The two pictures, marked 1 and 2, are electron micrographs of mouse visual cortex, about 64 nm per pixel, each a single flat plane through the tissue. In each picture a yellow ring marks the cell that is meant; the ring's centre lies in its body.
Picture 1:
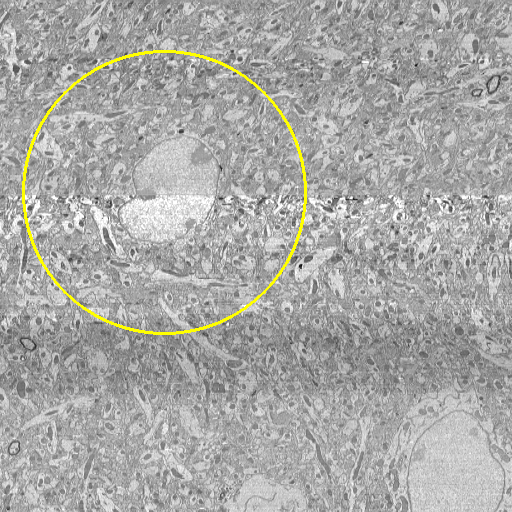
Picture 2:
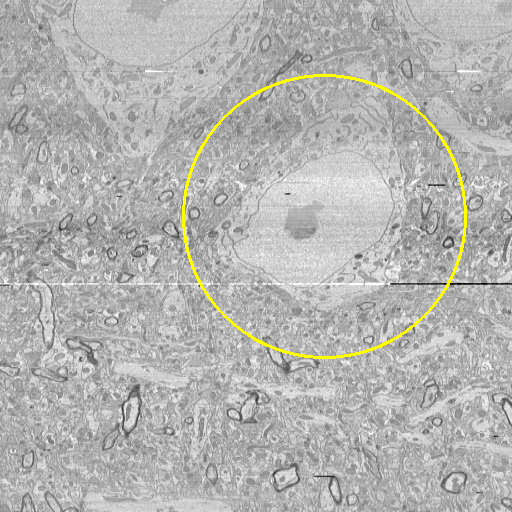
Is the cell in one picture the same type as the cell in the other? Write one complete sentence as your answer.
No, the types are not the same, since picture 1 shows an astrocyte and picture 2 an excitatory neuron.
